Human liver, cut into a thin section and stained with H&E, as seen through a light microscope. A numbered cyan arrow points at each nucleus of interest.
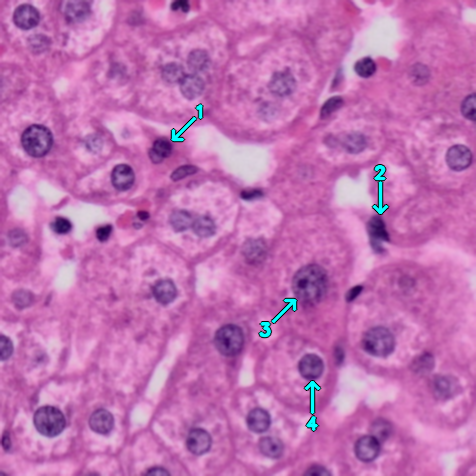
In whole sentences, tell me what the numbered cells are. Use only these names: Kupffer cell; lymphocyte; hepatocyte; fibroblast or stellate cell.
Cell 1 is a Kupffer cell. Cell 2 is a fibroblast or stellate cell. Cells 3 and 4 are hepatocytes.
